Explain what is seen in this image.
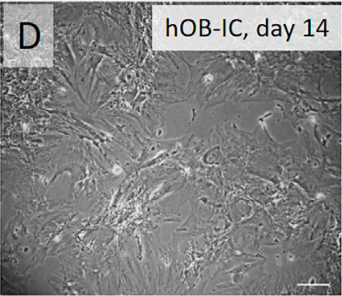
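Some cells are spread flat, with broad, pale cytoplasm and irregular, polygonal outlines. Others are slender and spindle-shaped. In places the cells gather into denser, darker clusters with bright, refractile edges, and a few small rounded bright bodies lie among them. Between the groups there are open patches of empty background, so the cells do not form the aligned parallel streams seen in a crowded culture.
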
